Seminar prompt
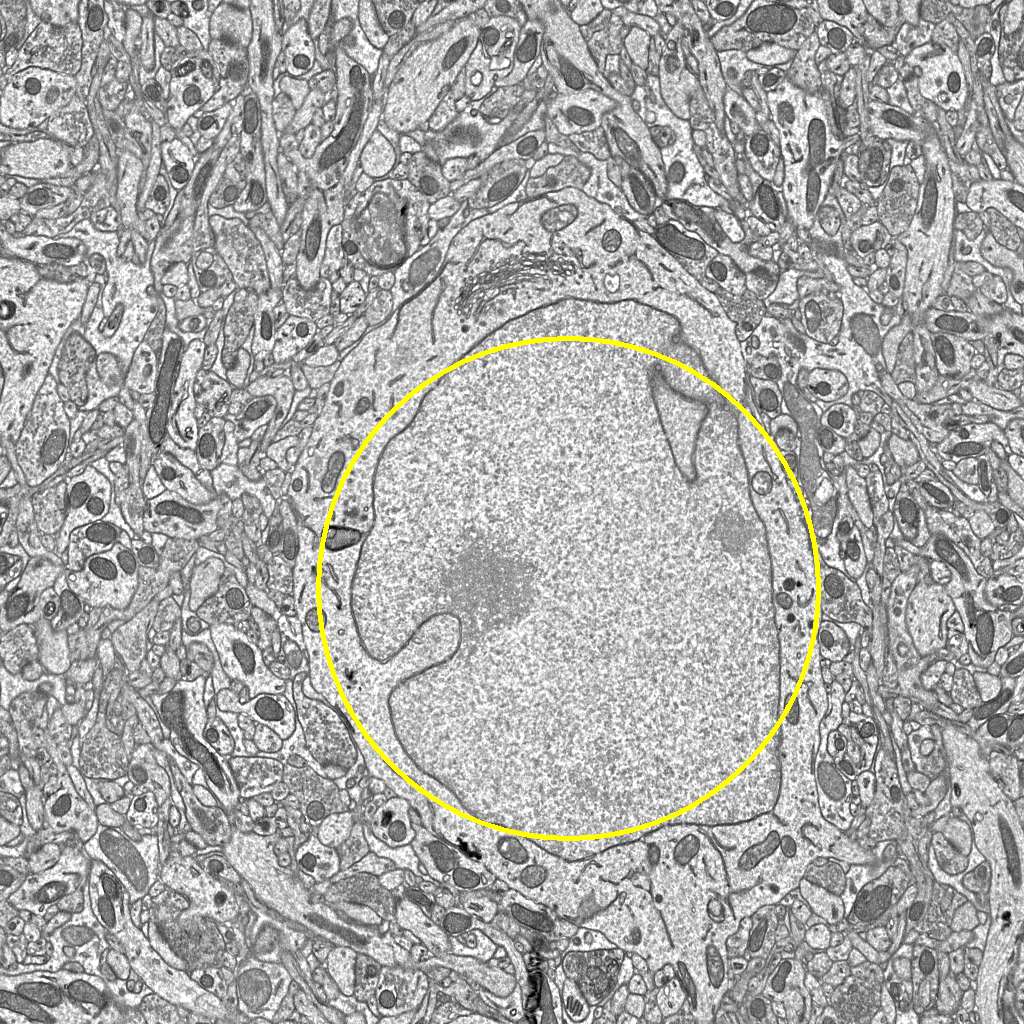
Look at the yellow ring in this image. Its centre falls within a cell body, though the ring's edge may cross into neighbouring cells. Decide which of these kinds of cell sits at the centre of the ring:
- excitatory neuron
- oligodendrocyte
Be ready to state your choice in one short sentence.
The kind of cell at the ring's centre is an excitatory neuron.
